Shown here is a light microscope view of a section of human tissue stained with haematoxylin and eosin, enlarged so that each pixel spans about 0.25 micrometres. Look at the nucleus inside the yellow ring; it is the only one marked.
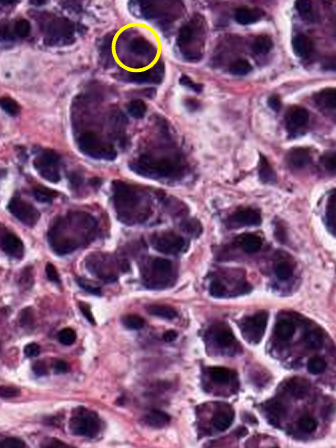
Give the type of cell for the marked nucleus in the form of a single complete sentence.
The marked nucleus is recognized as the nucleus of a pancreatic acinar cell.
